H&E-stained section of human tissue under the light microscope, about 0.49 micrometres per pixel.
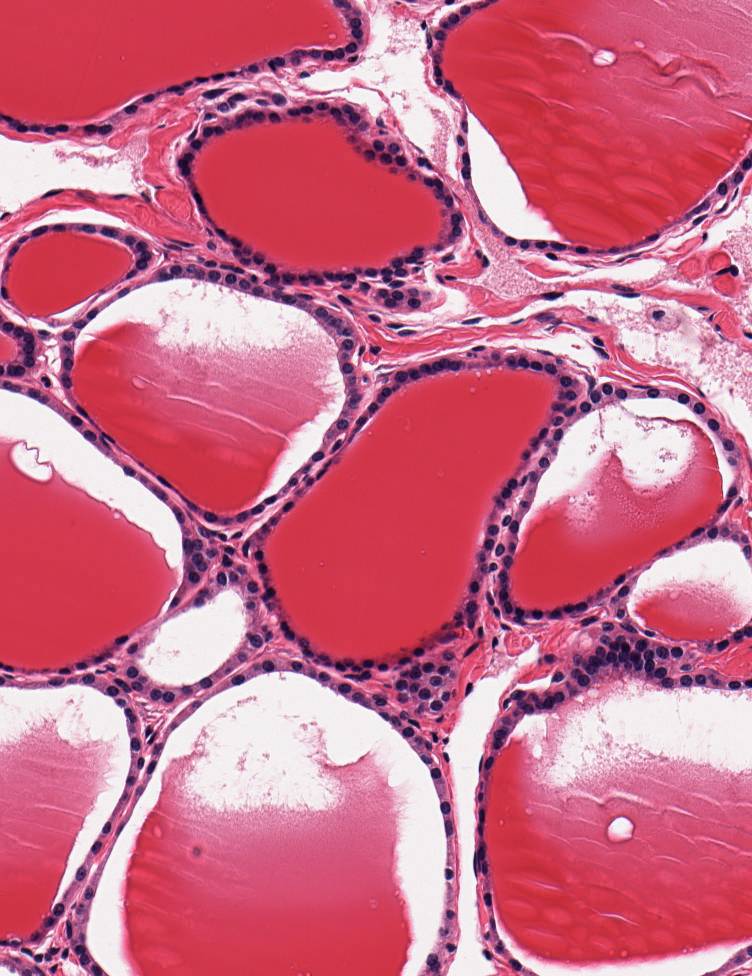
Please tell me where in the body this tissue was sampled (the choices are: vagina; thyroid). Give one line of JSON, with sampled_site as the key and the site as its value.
{"sampled_site": "thyroid"}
